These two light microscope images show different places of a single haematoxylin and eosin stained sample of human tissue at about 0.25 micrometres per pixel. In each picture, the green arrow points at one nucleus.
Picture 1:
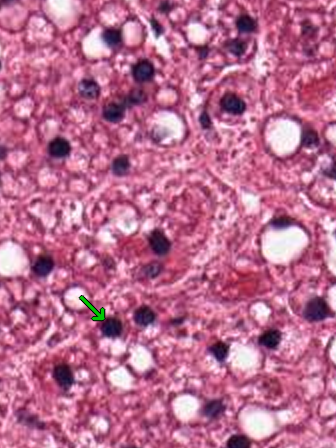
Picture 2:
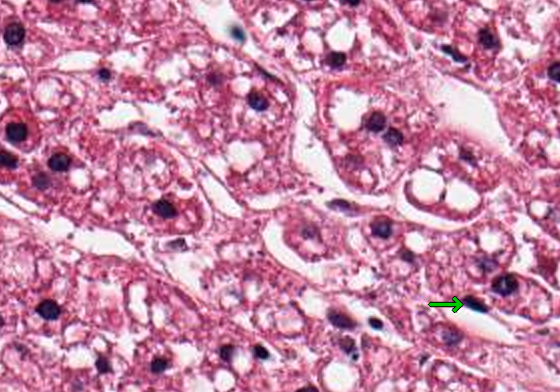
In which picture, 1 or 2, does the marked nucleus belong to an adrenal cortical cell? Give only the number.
1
